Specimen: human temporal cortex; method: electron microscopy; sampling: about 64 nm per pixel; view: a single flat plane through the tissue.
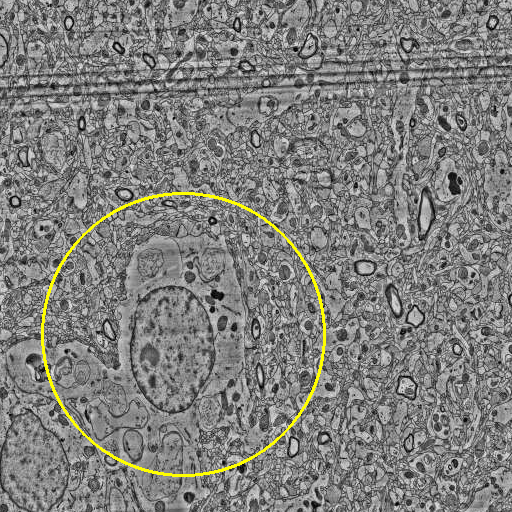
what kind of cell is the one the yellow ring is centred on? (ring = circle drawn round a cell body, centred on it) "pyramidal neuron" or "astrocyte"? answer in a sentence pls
The ring is drawn around an astrocyte.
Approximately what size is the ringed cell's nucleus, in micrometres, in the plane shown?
In this plane the nucleus is roughly 8 by 5 micrometres, clearly longer than it is wide.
